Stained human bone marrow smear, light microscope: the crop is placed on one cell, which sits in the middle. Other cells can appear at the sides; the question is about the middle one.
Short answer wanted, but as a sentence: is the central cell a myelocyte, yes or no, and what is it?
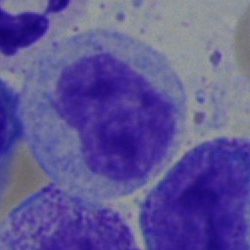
Yes, the cell at the midpoint of the crop is a myelocyte.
